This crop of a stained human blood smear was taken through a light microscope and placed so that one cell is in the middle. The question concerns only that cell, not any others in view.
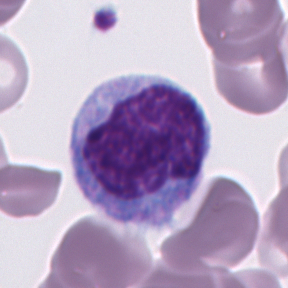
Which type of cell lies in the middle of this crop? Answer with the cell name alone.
monocyte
